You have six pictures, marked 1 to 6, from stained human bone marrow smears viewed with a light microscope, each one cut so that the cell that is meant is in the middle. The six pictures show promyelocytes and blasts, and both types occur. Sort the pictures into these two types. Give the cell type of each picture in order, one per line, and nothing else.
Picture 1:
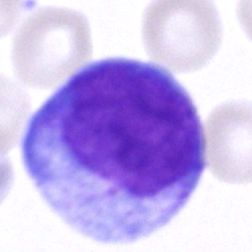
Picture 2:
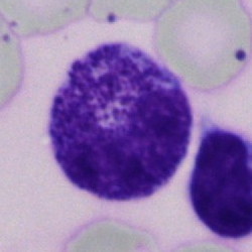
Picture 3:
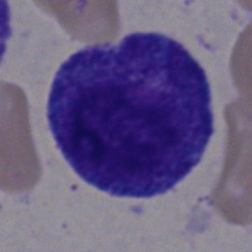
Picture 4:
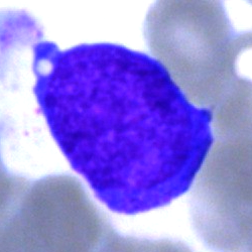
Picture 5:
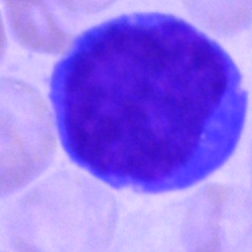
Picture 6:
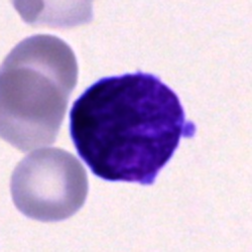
promyelocyte
promyelocyte
promyelocyte
blast
blast
blast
